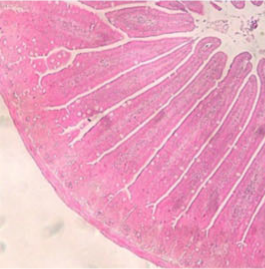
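A curved section of small intestinal wall shows a thin outer muscular band from which many tall, slender, finger-like villi radiate inward toward the lumen. The villi are long, narrow and closely packed, stained mostly pink, each separated from its neighbours by thin clear spaces. Small pale dots scattered along the epithelium are likely goblet cells.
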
